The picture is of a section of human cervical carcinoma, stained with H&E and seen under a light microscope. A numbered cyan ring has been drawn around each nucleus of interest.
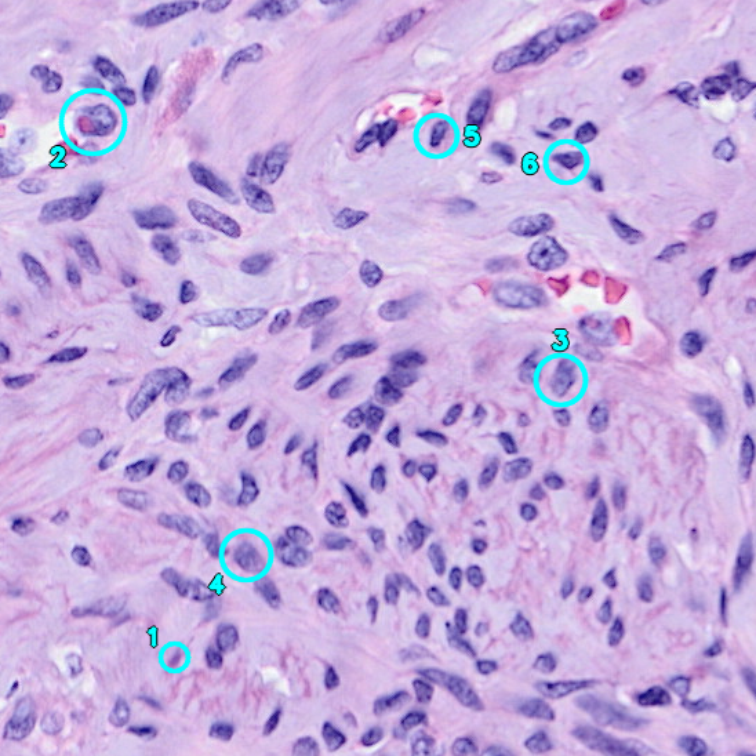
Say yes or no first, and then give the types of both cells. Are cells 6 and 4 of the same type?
No, cell 6 is recognized as a fibroblast, and cell 4 as a smooth muscle cell.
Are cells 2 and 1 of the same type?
No, listen: cell 2 is an endothelial cell and cell 1 is a smooth muscle cell.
